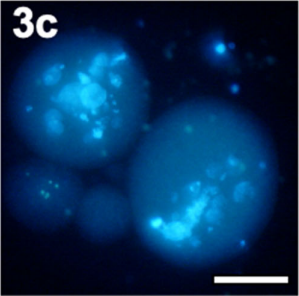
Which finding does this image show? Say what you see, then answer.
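Dispersed chromatin. Bright chromatin is broken into many scattered fragments in each large blastomere.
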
